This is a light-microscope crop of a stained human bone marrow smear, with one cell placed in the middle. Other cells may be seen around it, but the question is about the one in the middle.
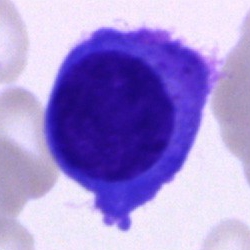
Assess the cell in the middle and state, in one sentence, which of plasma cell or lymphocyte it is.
The cell marked by its central position in the crop is a plasma cell.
